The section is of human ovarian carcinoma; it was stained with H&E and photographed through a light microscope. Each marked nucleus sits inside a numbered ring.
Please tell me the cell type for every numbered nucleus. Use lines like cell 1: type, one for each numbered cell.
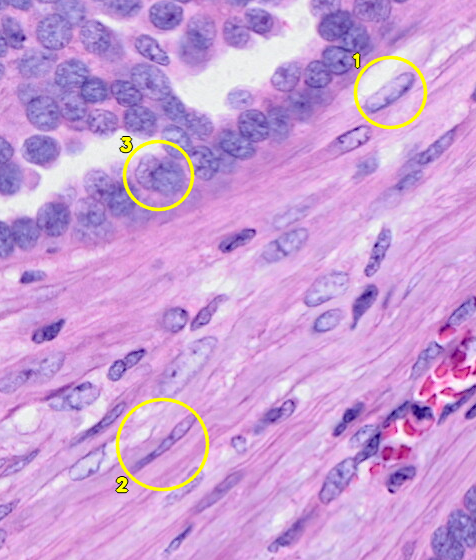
cell 1: fibroblast
cell 2: fibroblast
cell 3: carcinoma cell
